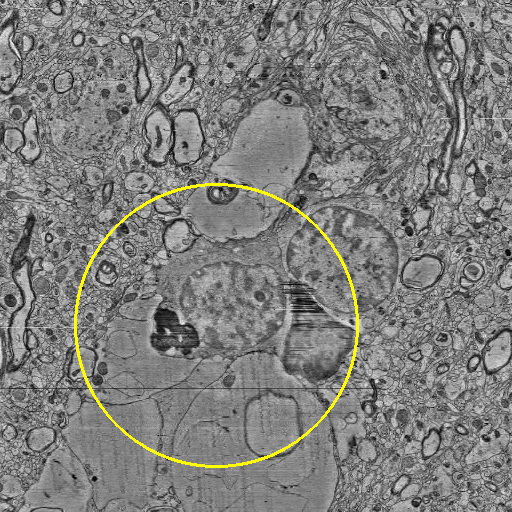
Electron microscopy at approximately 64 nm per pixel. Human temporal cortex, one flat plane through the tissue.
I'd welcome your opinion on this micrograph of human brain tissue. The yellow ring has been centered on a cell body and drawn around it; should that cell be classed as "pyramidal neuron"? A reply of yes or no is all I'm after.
no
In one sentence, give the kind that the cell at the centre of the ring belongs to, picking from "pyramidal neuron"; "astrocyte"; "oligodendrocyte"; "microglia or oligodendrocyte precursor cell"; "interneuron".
Here, the ring is centred on an oligodendrocyte instead.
